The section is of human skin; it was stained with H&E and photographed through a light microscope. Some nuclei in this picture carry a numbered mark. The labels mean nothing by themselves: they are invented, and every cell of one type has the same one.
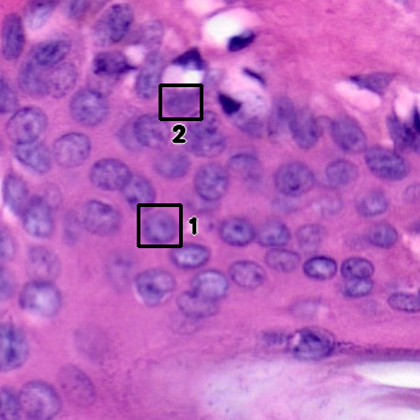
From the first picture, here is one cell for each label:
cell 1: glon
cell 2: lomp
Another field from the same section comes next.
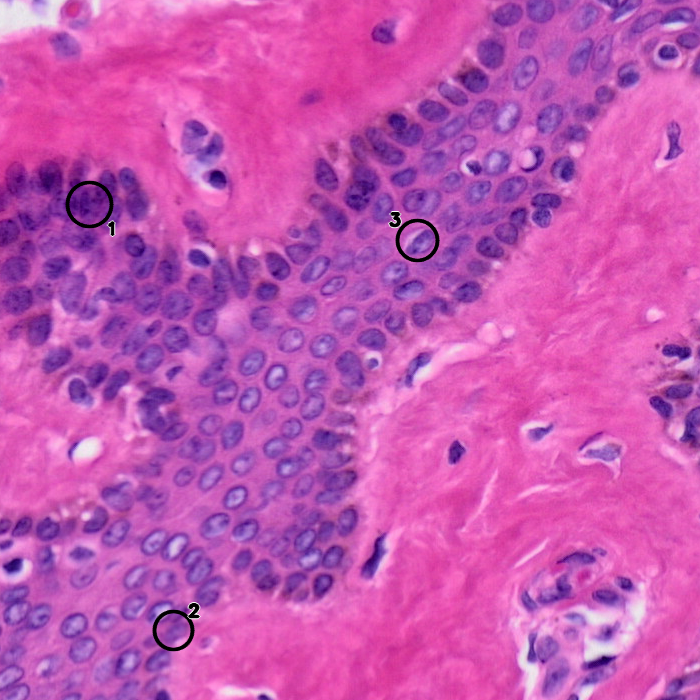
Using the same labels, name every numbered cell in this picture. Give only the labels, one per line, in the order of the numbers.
lomp
lomp
glon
